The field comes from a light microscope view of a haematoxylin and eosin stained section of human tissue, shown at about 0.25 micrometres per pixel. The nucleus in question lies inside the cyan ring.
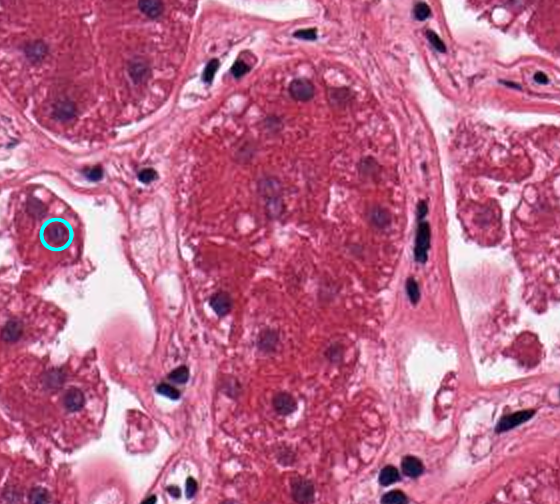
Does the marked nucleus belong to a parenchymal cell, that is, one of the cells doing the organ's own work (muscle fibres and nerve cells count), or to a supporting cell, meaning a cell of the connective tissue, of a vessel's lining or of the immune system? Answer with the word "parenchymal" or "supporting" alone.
parenchymal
